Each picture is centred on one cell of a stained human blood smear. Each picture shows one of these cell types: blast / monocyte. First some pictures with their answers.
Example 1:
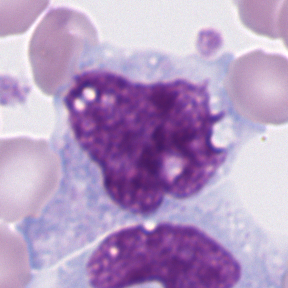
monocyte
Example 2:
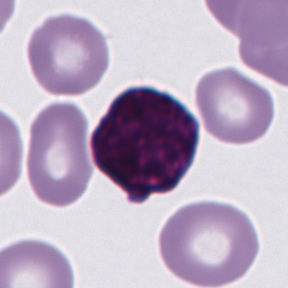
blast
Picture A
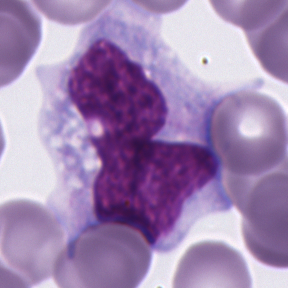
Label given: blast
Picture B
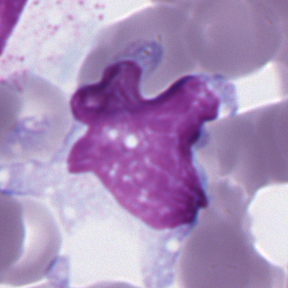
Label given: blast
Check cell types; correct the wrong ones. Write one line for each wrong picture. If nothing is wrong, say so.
A is labelled blast; correct label: monocyte
B is labelled blast; correct label: monocyte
